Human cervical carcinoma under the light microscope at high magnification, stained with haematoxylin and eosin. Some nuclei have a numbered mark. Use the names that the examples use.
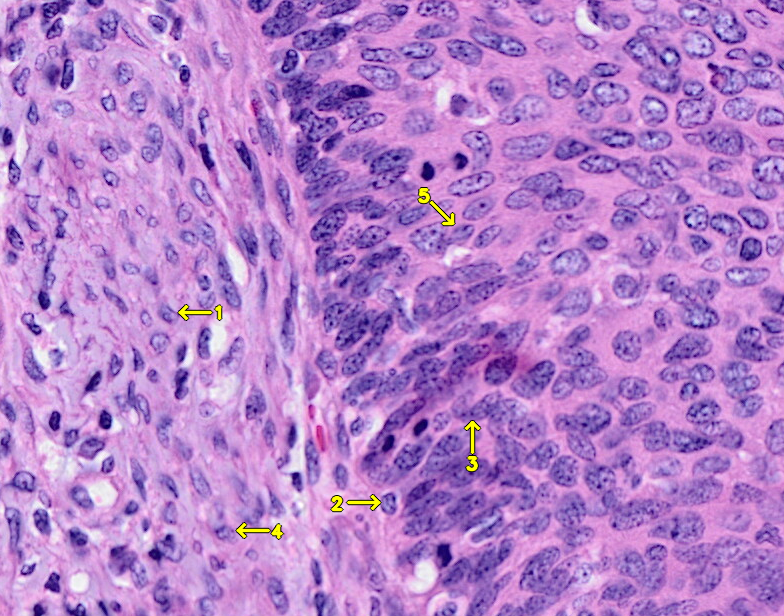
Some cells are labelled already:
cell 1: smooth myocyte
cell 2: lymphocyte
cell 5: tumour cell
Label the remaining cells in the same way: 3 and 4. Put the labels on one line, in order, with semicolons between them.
tumour cell; smooth myocyte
